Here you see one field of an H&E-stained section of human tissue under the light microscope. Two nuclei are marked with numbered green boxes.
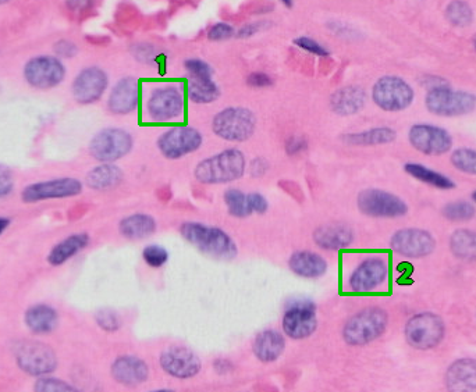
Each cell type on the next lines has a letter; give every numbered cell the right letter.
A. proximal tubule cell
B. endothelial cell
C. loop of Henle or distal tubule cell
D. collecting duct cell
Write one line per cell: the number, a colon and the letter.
1: D
2: C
